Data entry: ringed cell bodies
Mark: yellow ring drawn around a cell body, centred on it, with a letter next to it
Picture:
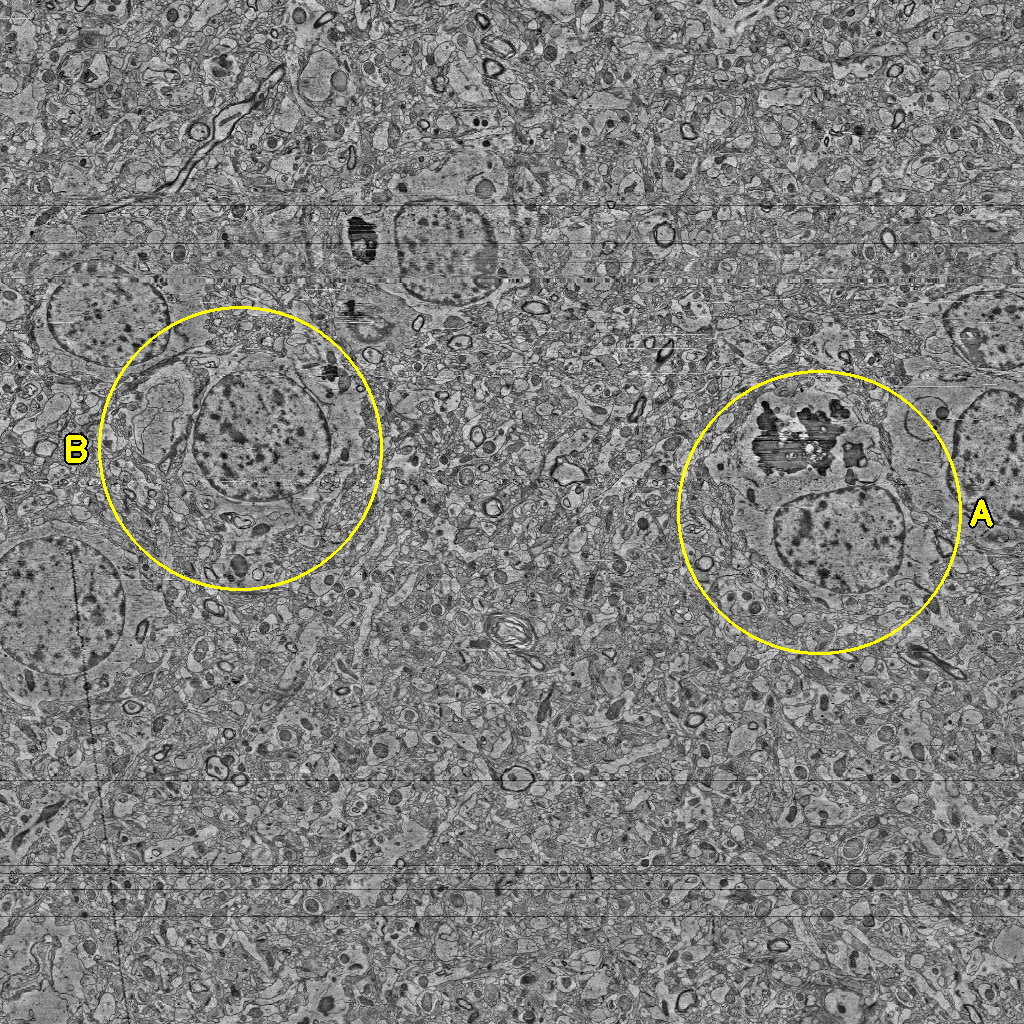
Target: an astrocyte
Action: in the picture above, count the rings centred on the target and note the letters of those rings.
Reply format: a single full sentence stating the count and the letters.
As for the rings with the letters A and B, there are two, each centred on an astrocyte.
